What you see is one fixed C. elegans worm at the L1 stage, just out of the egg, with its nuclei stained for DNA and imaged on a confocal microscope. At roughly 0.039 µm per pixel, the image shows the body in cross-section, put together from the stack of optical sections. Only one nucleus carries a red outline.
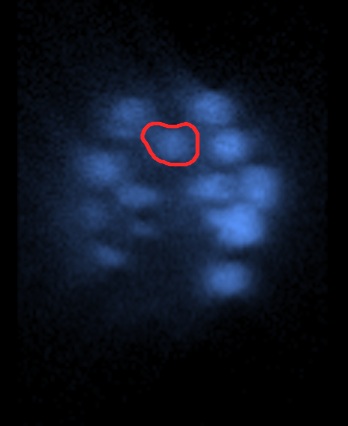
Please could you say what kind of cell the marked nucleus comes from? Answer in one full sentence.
This is the nucleus of a pharyngeal epithelial cell.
